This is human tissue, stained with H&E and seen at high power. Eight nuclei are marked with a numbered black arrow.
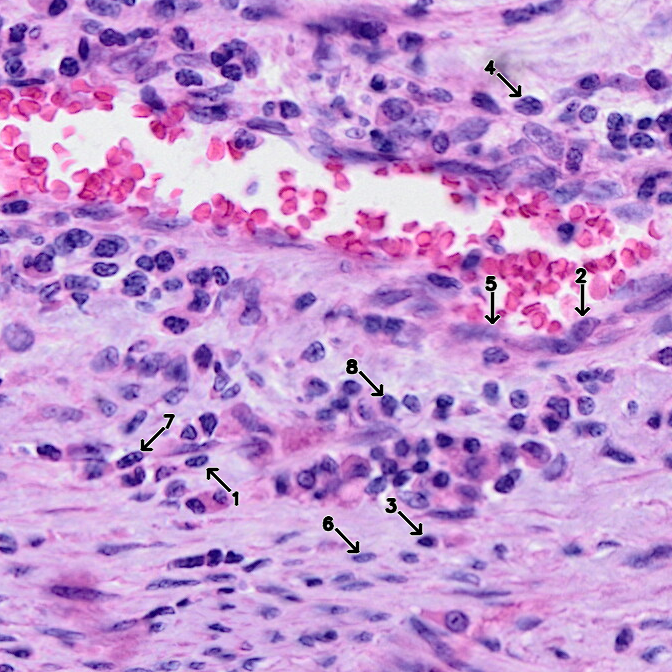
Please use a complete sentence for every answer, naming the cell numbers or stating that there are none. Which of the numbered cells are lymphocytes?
Cells 1, 3, 4, 7 and 8 are classified as lymphocytes.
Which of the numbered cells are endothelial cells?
The cells with the number labels 2 and 5 are endothelial cells.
